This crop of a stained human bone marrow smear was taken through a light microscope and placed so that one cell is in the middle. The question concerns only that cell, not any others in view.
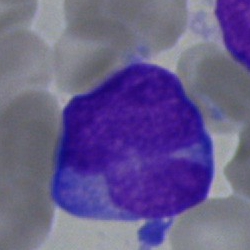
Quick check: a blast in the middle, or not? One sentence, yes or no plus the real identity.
Yes, the cell at the midpoint of the crop is a blast.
